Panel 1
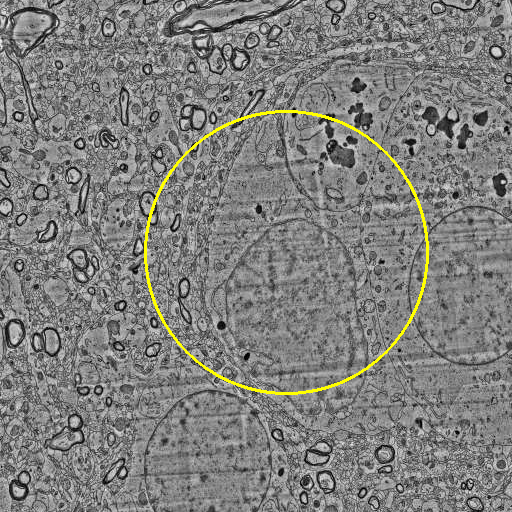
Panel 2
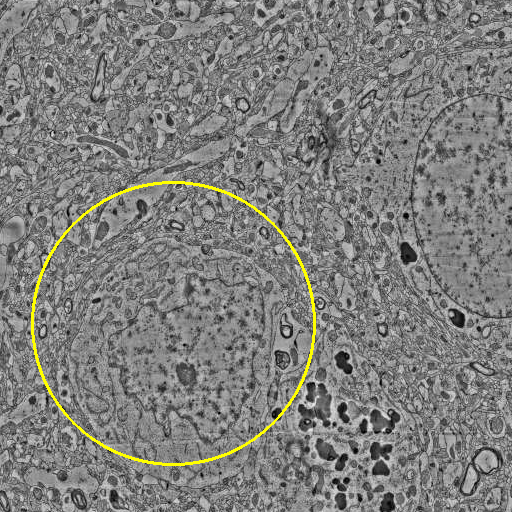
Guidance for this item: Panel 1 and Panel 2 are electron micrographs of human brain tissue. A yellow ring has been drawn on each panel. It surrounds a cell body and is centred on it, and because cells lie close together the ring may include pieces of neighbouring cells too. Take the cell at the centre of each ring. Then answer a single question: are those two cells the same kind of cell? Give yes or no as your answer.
yes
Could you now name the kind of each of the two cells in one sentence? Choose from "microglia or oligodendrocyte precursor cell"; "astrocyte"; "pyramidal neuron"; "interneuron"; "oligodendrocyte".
In the first picture and in the second, the ring is centred on an interneuron.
